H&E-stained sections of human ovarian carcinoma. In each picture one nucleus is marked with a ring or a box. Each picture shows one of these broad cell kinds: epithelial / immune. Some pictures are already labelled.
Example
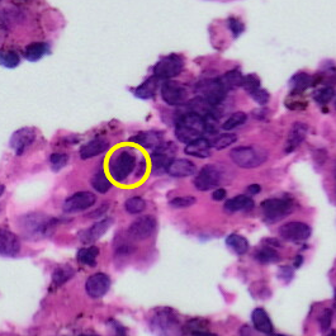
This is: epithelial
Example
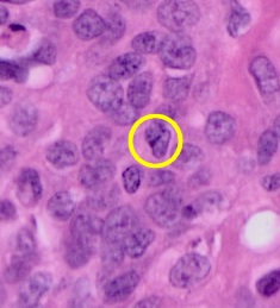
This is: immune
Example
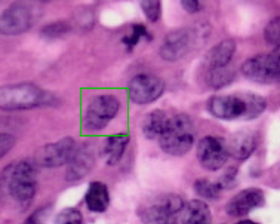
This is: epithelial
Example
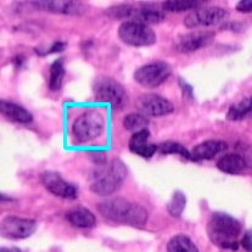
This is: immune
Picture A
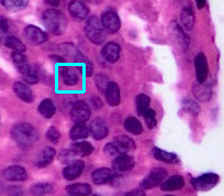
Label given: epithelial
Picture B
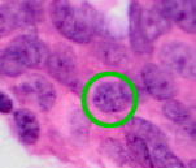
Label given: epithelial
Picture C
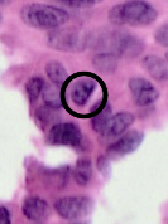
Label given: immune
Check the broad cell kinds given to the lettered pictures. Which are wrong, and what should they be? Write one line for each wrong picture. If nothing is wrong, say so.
B: immune, not epithelial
